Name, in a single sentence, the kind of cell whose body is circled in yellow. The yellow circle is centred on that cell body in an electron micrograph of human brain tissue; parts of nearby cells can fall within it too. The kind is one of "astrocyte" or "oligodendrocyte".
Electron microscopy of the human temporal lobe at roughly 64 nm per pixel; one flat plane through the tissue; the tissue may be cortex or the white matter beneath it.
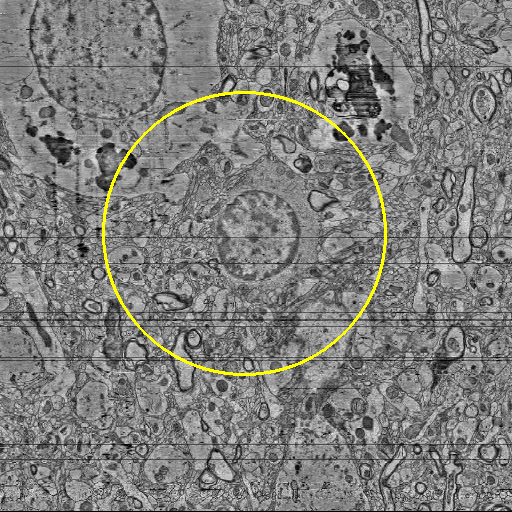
The circled cell body belongs to an oligodendrocyte.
